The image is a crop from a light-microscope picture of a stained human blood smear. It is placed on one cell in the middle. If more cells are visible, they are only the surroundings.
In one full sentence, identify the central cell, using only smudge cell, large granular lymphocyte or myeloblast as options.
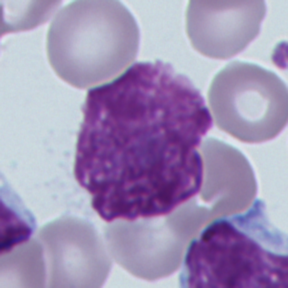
Among the cells in view, the one in the middle is a smudge cell.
